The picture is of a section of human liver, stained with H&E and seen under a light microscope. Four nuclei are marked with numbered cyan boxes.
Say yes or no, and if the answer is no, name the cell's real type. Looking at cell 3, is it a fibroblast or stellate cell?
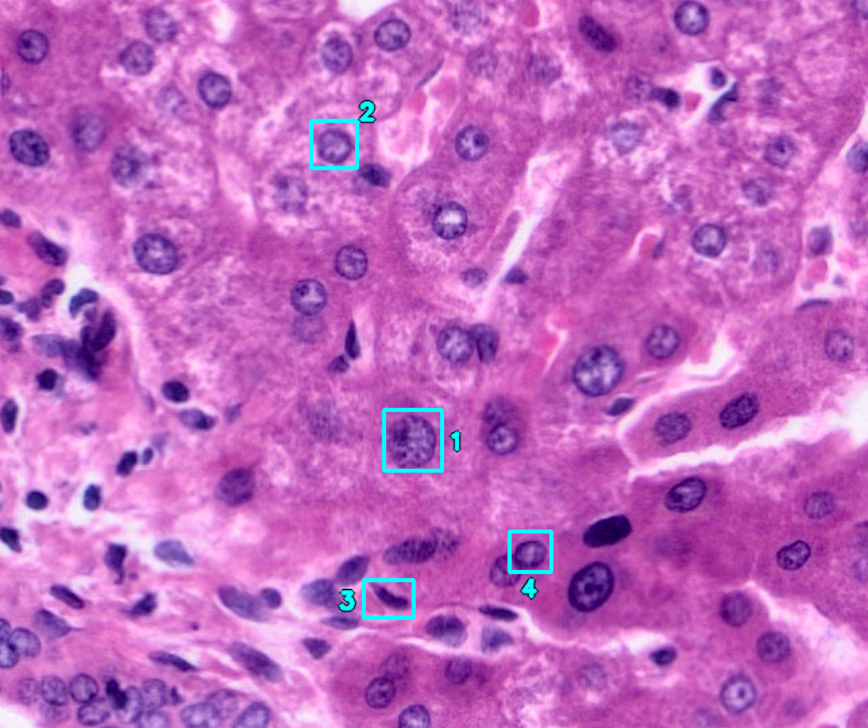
Yes.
